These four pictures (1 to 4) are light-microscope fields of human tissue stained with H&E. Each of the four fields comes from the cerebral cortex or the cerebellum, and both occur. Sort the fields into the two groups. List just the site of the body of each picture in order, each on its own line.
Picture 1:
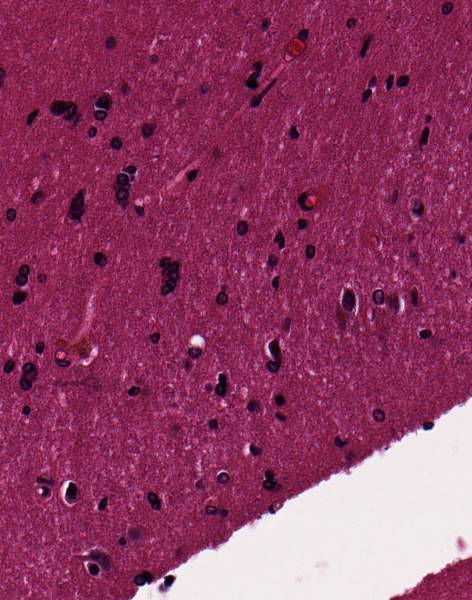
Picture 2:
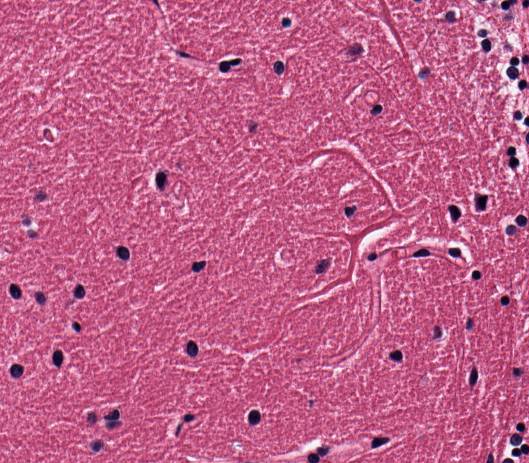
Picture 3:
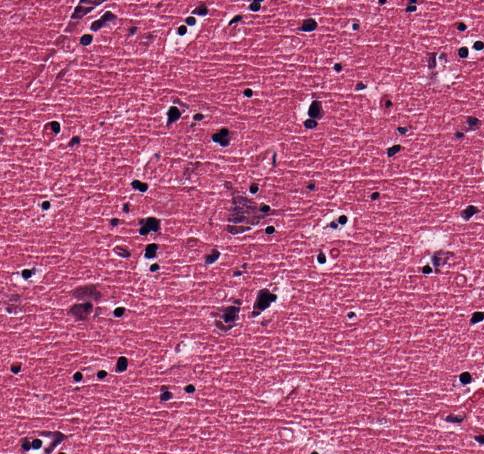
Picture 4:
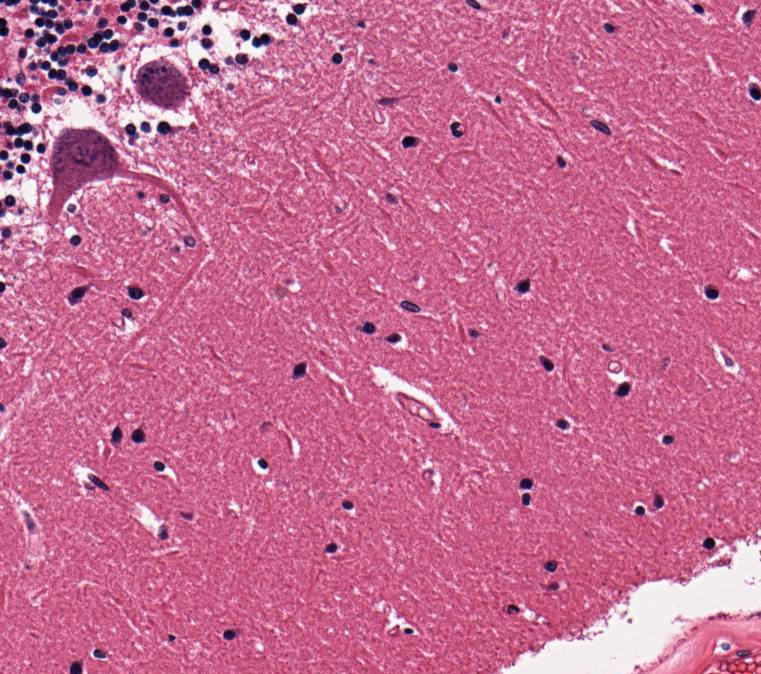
cerebral cortex
cerebellum
cerebral cortex
cerebellum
